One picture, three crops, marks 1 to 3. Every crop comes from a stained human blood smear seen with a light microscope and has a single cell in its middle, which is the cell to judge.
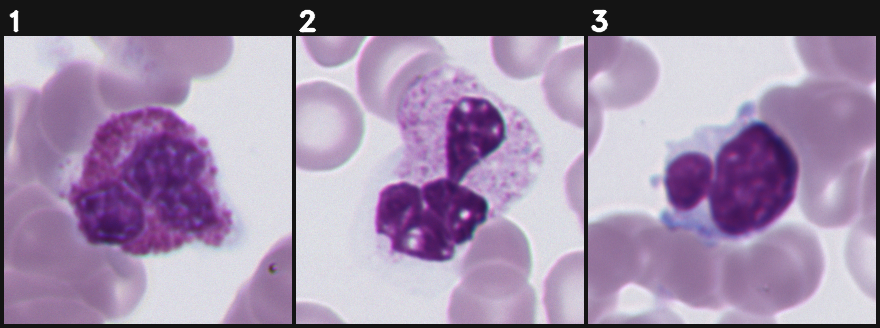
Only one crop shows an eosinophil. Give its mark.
1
